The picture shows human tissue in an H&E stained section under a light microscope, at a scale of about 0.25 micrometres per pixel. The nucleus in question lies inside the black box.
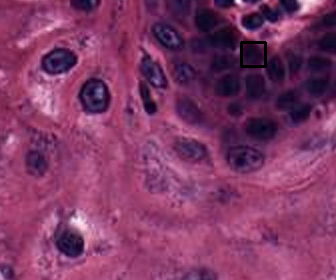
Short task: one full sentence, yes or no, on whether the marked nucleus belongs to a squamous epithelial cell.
Yes, a squamous epithelial cell is the owner of the marked nucleus.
